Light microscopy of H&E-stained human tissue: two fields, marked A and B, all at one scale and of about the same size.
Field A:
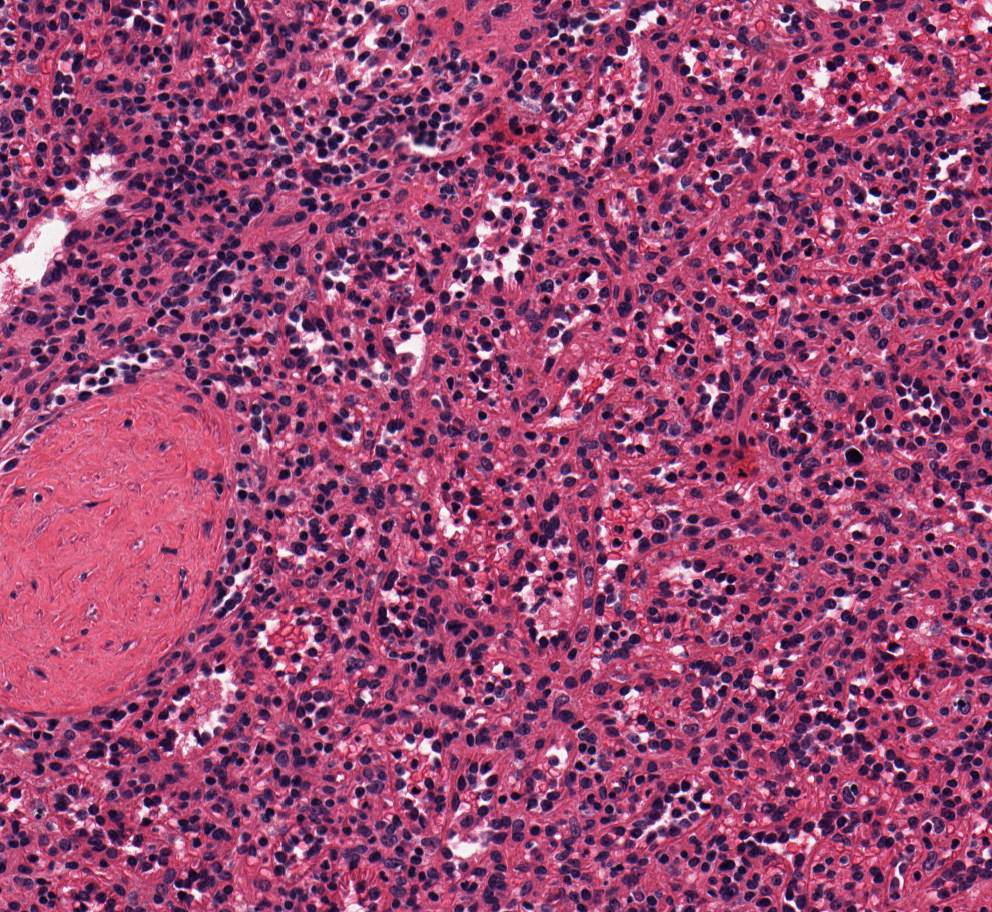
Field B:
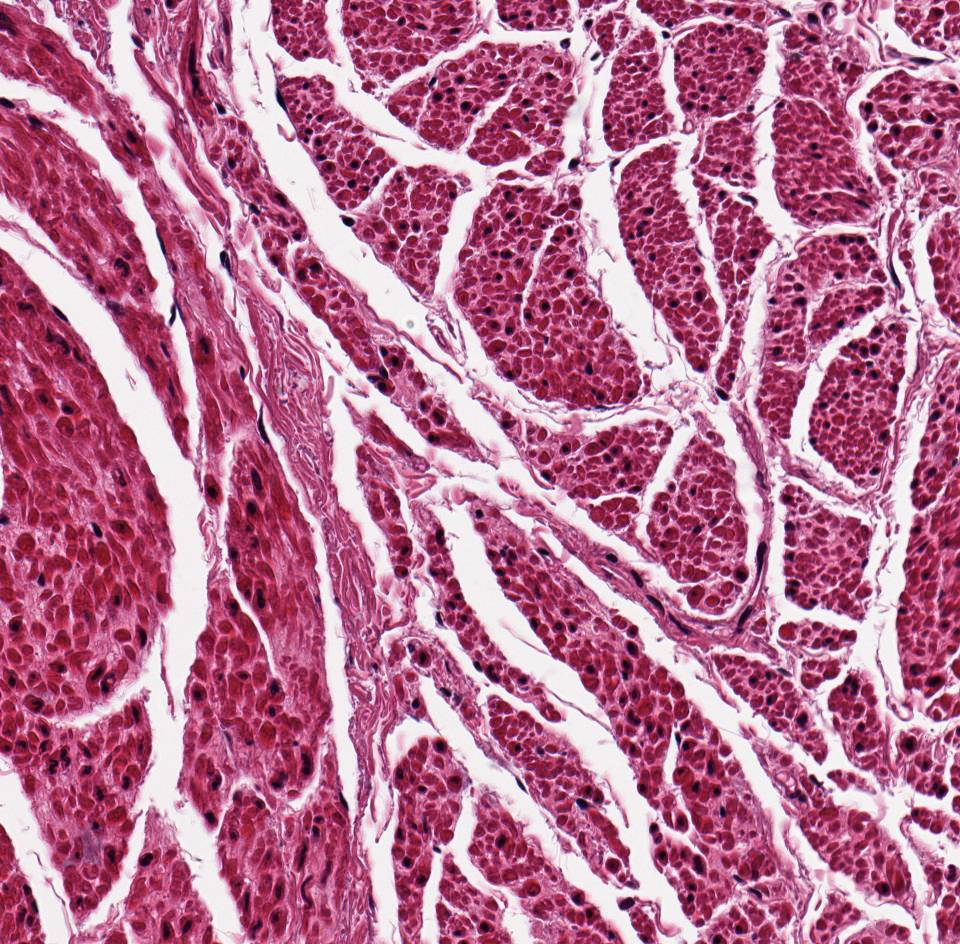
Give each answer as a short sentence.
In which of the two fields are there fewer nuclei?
There are fewer nuclei in field B.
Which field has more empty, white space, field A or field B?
More of field B is empty and white.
